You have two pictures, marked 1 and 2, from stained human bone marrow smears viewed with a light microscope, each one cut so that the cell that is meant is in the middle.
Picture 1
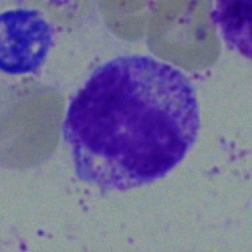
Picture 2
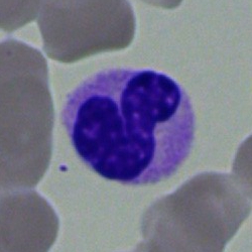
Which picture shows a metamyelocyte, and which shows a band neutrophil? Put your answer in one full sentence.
The cell in picture 1 is a metamyelocyte, and the one in picture 2 is a band neutrophil.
